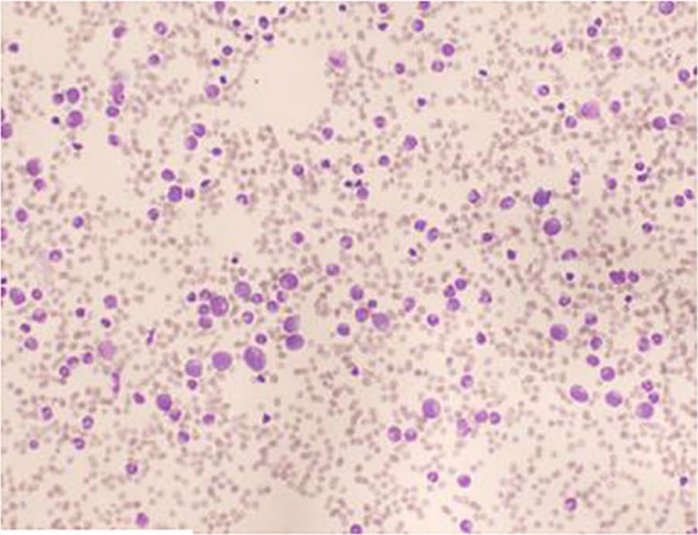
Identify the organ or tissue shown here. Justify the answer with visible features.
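Numerous scattered purple nucleated cells of varying size among the red cells.
Bone marrow.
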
